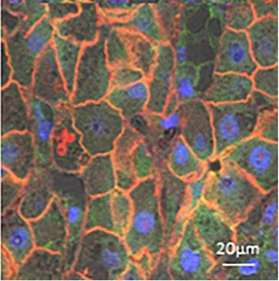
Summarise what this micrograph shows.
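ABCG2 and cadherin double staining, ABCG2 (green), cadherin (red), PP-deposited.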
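This is liver tissue made up of large polygonal hepatocytes packed closely together in sheets. Most cells contain a single round blue nucleus lying near the centre. A few small dark gaps lie between groups of cells.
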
